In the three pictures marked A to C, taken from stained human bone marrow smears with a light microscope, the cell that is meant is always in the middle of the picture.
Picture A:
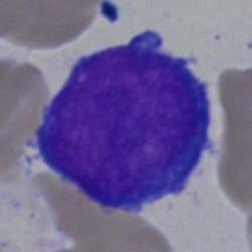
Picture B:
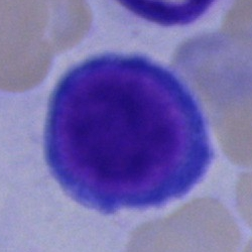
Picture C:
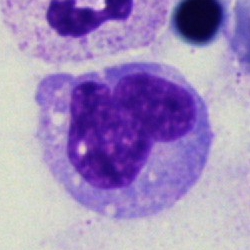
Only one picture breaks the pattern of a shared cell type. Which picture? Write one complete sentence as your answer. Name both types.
Picture C is the odd one out: it shows a monocyte, while the others show proerythroblasts.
